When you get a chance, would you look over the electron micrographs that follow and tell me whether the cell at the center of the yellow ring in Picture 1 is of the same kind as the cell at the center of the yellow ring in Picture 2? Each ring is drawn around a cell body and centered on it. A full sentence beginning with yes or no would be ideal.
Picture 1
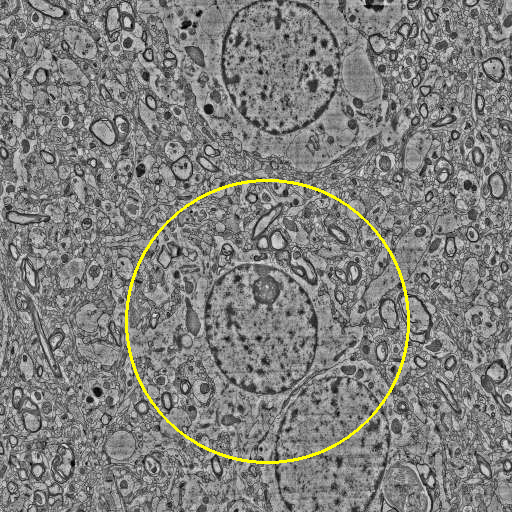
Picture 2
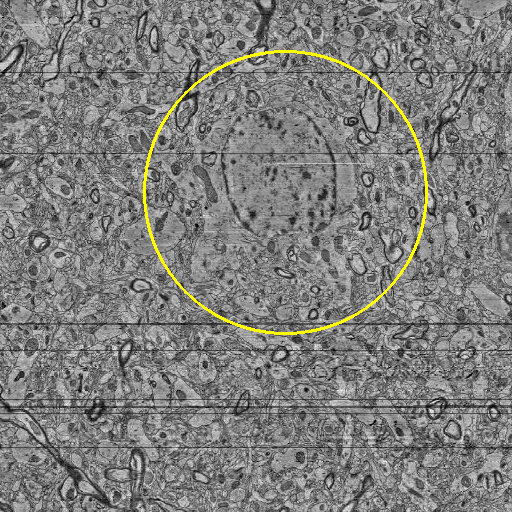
Yes, the two cells are of the same kind.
